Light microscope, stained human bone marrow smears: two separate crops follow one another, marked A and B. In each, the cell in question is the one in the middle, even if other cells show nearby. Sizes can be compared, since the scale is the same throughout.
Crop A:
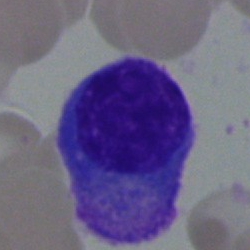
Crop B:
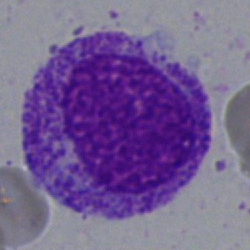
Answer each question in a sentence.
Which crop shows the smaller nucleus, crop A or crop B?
Smaller is the nucleus in crop A, and the other is about 1.5 times as large in area.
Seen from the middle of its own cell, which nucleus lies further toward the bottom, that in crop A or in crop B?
Seen within its cell, the nucleus in crop B lies further toward the bottom.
